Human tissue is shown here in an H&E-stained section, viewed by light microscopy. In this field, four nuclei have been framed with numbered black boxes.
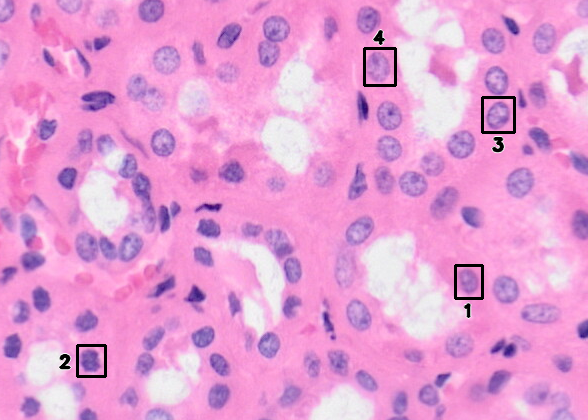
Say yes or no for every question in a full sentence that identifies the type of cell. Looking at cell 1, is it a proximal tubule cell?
Yes, the cell at marker 1 is a proximal tubule cell.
